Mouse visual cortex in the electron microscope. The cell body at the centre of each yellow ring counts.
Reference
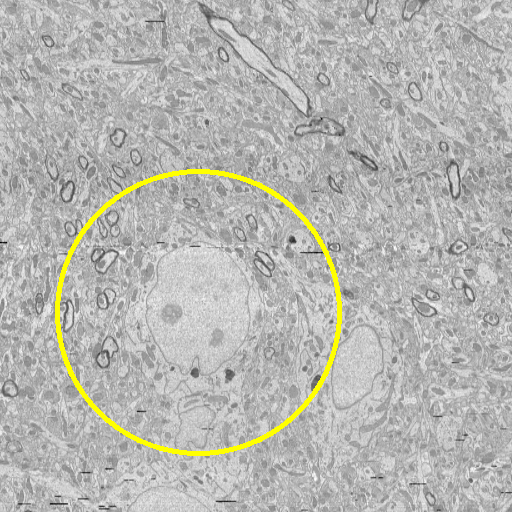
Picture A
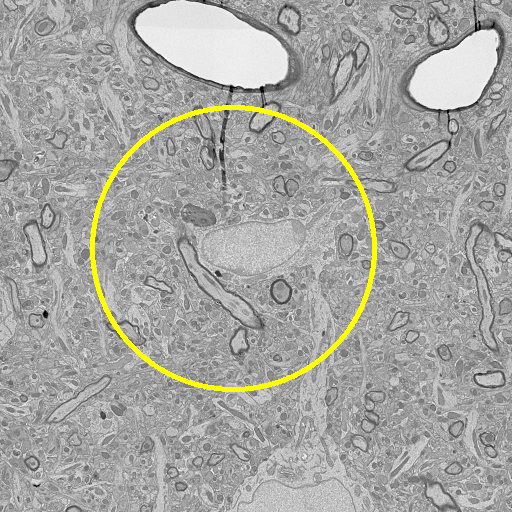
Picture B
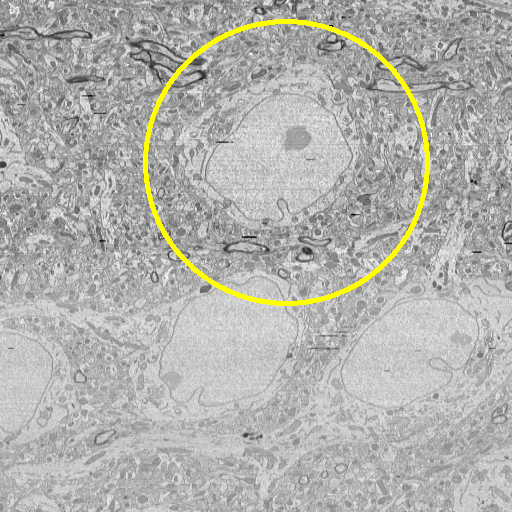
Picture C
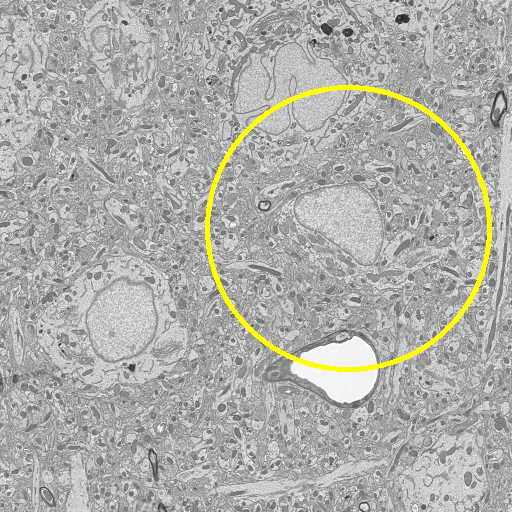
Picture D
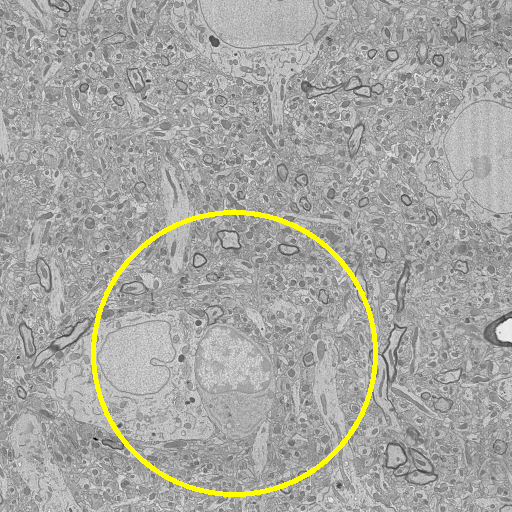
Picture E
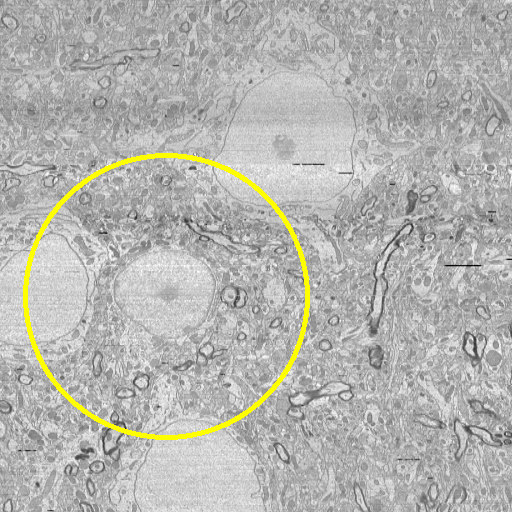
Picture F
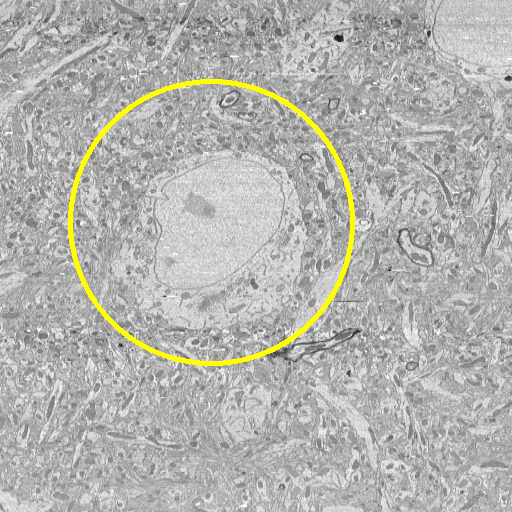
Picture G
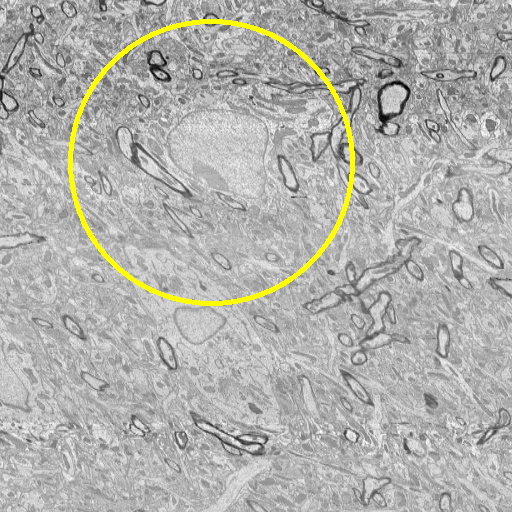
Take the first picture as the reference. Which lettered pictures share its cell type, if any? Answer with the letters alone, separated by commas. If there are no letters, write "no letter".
B, F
